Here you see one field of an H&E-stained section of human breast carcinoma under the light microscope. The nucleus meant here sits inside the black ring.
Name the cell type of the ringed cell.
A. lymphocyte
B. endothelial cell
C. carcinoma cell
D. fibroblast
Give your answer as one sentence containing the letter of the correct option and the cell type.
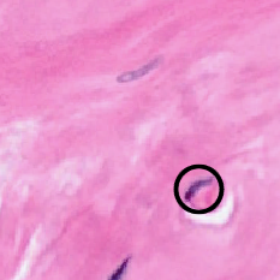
The correct choice is option B; the ringed cell is an endothelial cell.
